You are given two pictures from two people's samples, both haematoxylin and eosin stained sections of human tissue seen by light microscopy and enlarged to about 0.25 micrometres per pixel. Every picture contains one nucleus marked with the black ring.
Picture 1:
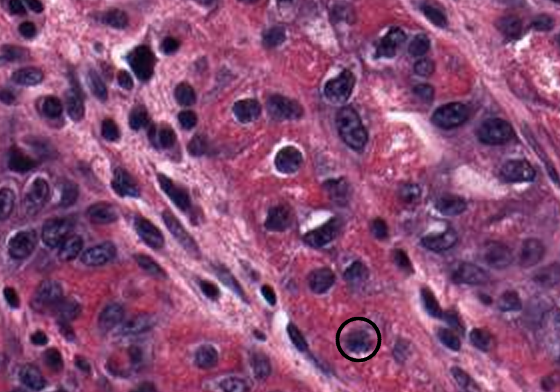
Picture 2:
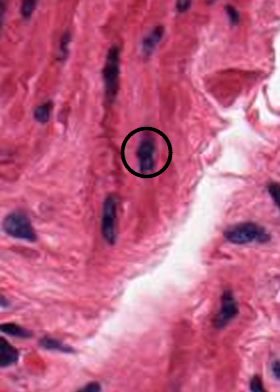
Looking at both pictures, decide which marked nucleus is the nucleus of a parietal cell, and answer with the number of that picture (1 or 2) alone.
1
